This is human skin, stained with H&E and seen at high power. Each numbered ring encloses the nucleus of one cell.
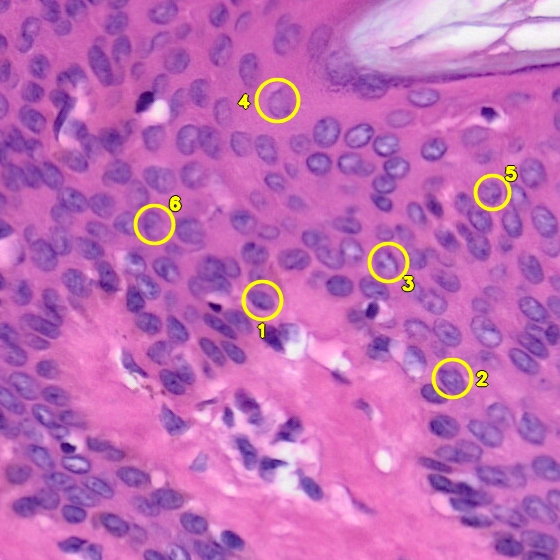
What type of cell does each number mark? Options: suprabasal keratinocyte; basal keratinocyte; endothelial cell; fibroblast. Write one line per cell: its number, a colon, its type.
1: basal keratinocyte
2: basal keratinocyte
3: suprabasal keratinocyte
4: suprabasal keratinocyte
5: suprabasal keratinocyte
6: suprabasal keratinocyte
